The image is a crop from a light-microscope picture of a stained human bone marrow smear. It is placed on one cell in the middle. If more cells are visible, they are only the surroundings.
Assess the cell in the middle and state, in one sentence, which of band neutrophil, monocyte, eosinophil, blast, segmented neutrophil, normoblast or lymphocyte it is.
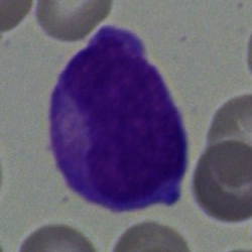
The cell at the central position in this crop is a blast.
